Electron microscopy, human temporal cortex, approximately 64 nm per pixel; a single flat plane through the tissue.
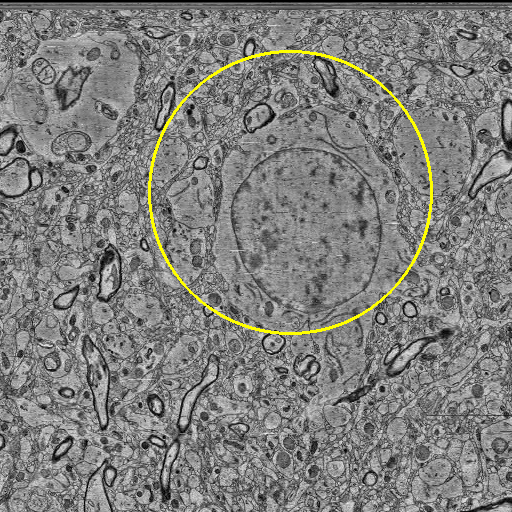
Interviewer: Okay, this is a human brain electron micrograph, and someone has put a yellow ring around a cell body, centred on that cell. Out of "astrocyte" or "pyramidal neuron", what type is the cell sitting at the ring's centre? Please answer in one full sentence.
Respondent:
The cell at the centre of the yellow ring in this picture is an astrocyte.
